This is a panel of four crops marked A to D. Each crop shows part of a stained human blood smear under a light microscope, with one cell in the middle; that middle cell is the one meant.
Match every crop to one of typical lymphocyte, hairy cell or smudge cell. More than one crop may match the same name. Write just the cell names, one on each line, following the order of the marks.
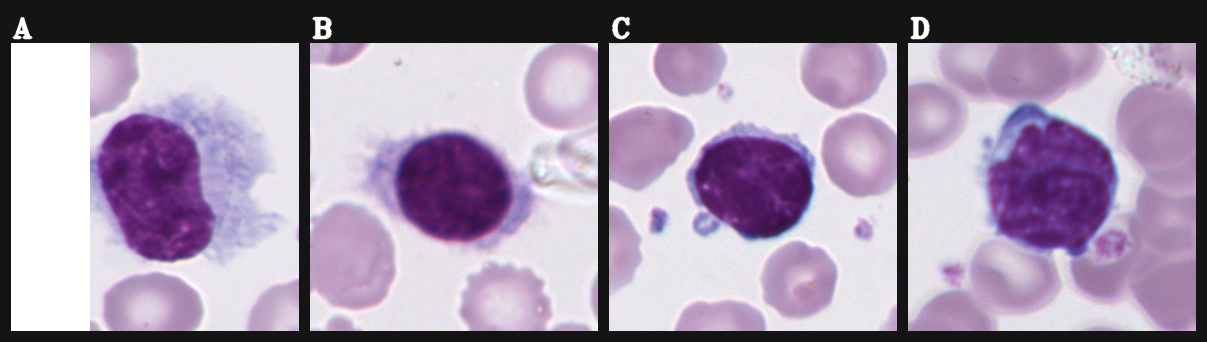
hairy cell
hairy cell
typical lymphocyte
typical lymphocyte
